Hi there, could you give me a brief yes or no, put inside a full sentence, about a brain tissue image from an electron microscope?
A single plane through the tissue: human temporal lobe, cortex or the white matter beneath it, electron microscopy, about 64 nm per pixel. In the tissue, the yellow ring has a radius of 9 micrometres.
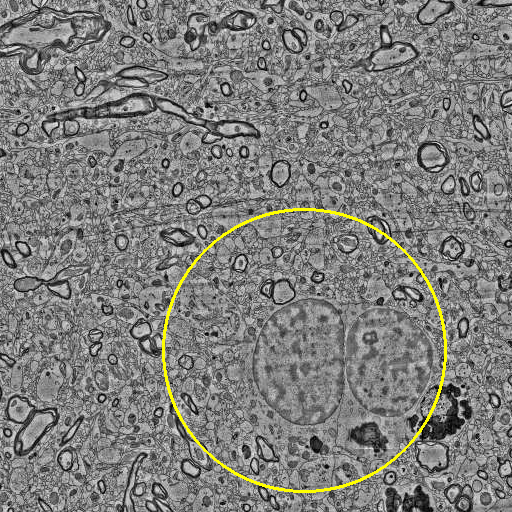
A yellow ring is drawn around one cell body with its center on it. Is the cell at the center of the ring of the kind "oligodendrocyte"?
Yes, the cell found at the center of the yellow ring is of that kind.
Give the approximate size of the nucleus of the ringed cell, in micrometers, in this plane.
About 8 by 6 micrometers for the nucleus, in this plane.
